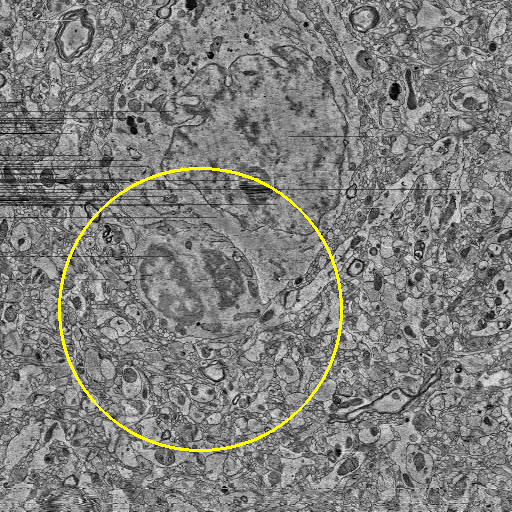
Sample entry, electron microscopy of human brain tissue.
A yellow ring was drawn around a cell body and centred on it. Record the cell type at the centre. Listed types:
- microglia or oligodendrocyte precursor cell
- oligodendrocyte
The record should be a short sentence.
The cell at the ring's centre is an oligodendrocyte.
